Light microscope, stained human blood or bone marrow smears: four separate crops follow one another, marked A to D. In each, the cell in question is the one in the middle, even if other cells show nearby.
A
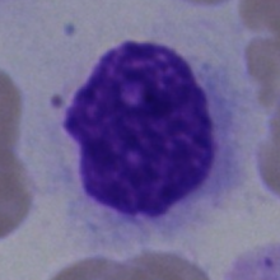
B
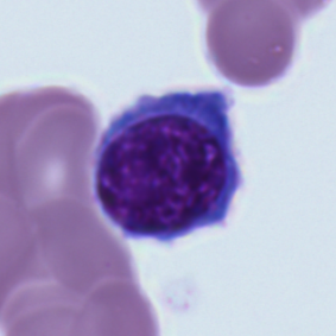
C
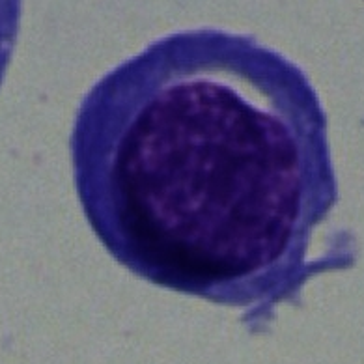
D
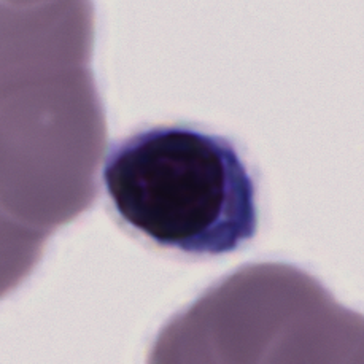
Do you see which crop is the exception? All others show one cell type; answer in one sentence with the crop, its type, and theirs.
Crop A breaks the pattern with a hairy cell; all the others show plasma cells.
